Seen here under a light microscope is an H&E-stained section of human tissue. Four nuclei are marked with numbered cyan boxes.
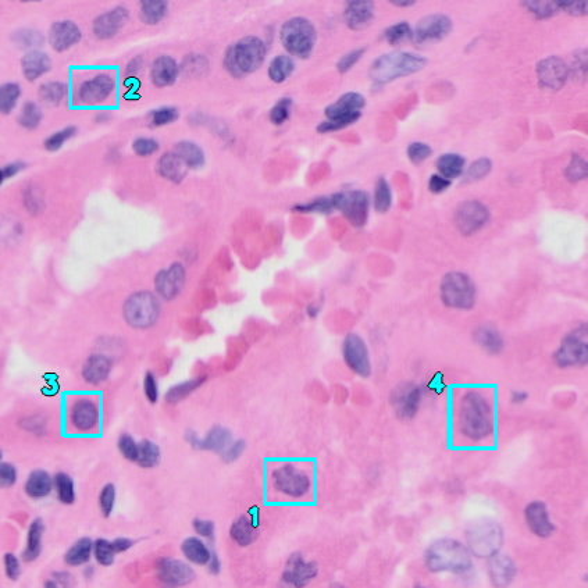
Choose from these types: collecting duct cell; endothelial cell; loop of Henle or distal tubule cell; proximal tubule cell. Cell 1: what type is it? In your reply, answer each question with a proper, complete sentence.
In the marked set, the cell given number 1 is a proximal tubule cell.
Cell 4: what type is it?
Cell 4, among those numbered, is a proximal tubule cell.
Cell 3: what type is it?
Cell 3 in the field of view is a proximal tubule cell.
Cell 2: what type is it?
The correct label for cell 2 is a collecting duct cell.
